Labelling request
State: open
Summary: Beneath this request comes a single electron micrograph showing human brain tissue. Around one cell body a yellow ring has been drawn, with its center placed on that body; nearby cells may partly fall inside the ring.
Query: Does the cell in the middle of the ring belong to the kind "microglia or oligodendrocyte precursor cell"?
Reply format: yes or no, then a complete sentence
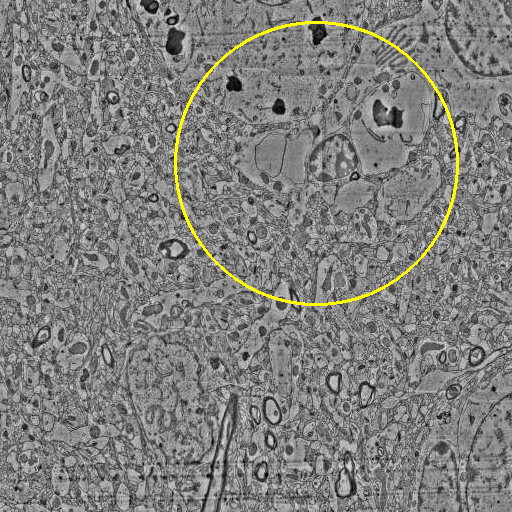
Yes, the cell sitting at the center of the ring in this picture is of that kind.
